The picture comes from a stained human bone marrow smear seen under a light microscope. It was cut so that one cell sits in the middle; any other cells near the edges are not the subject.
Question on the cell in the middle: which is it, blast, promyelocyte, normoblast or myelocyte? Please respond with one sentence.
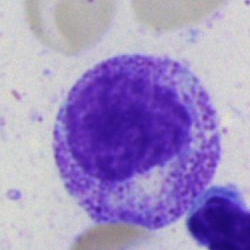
Of the cells in this crop, the central one is a myelocyte.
